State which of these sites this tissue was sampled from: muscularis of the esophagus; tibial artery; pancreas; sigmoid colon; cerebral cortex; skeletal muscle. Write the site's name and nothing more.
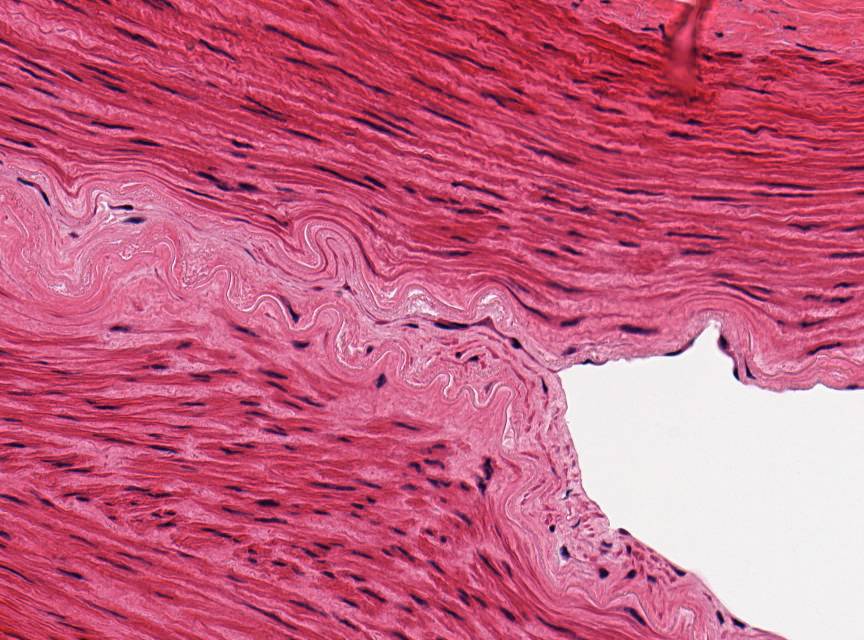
tibial artery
